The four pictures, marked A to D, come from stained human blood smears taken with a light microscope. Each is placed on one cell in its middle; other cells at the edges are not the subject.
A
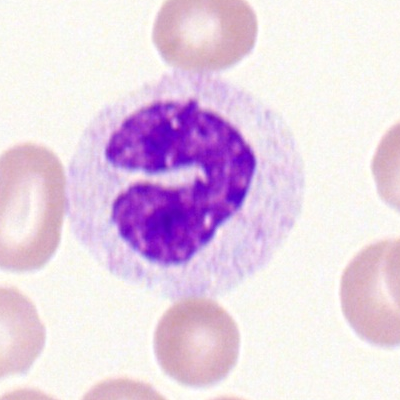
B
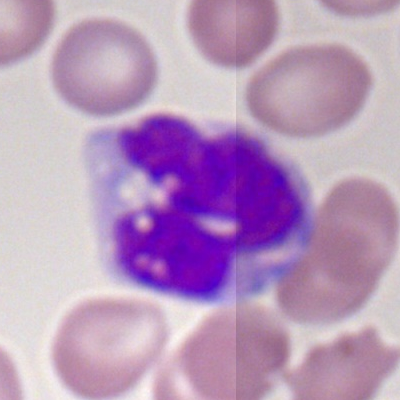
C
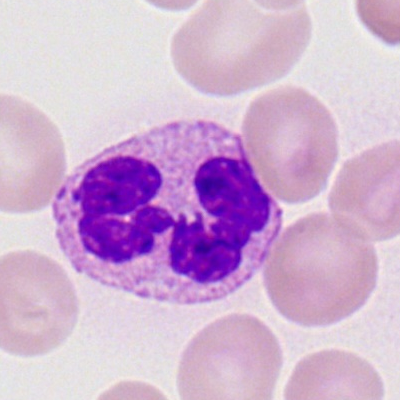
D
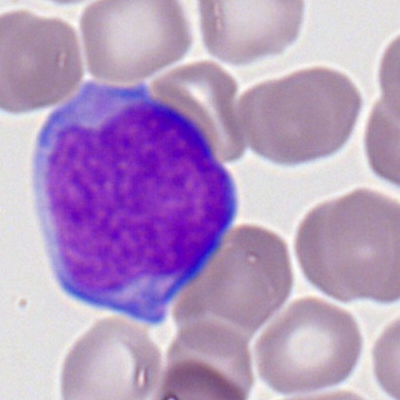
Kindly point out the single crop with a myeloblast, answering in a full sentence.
The one crop that shows a myeloblast is crop D.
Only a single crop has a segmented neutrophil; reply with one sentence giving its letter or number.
Crop C is the crop that shows a segmented neutrophil in its middle.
